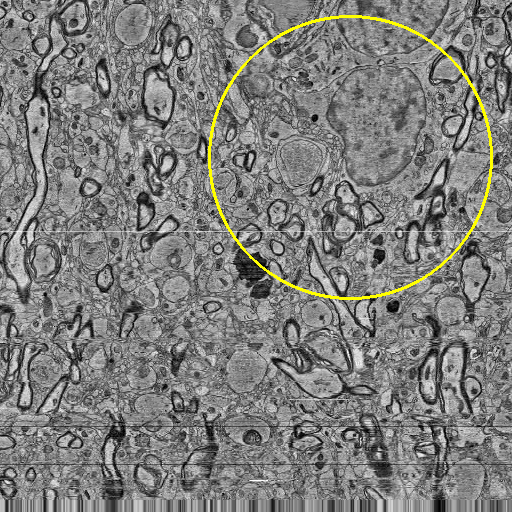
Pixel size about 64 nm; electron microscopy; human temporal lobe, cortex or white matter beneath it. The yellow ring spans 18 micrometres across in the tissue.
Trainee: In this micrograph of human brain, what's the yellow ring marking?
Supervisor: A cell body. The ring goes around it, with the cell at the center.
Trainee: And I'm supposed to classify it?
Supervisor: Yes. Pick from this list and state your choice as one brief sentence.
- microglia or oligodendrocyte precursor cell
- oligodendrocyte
The cell at the ring's center is an oligodendrocyte.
